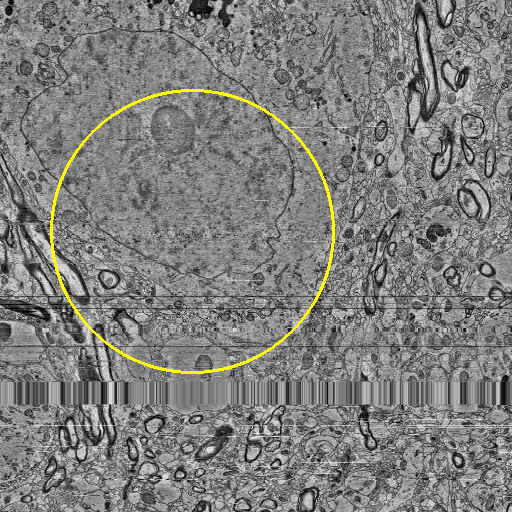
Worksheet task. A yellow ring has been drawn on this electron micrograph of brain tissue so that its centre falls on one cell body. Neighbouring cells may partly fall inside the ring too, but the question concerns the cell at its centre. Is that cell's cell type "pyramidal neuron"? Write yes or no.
yes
